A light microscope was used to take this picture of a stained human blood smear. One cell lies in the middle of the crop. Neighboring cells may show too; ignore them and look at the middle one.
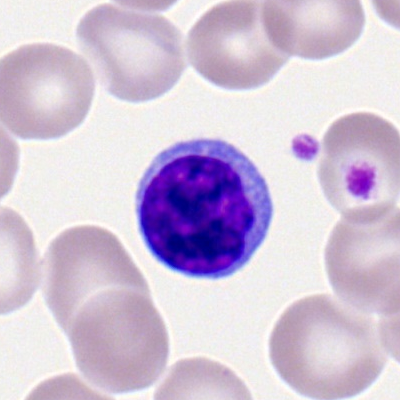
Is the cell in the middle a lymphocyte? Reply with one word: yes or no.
yes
